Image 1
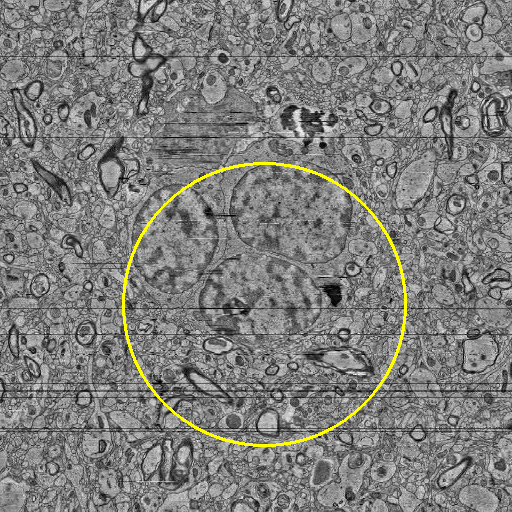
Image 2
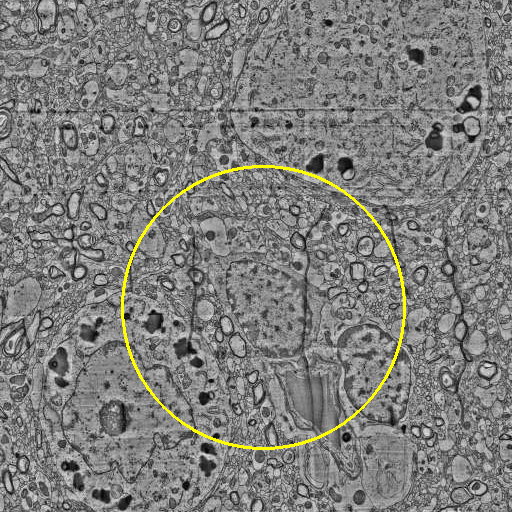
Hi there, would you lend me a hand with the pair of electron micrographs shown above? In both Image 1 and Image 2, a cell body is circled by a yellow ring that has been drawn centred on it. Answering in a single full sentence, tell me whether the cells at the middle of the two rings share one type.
Yes, the ringed cells in Image 1 and Image 2 share one type.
